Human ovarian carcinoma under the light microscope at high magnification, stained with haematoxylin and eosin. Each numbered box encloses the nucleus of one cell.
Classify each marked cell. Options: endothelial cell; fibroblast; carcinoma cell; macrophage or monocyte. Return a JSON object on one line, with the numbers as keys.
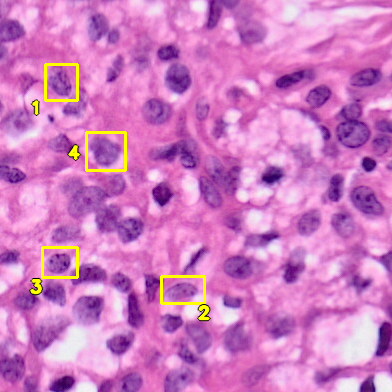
{"1": "macrophage or monocyte", "2": "macrophage or monocyte", "3": "macrophage or monocyte", "4": "carcinoma cell"}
